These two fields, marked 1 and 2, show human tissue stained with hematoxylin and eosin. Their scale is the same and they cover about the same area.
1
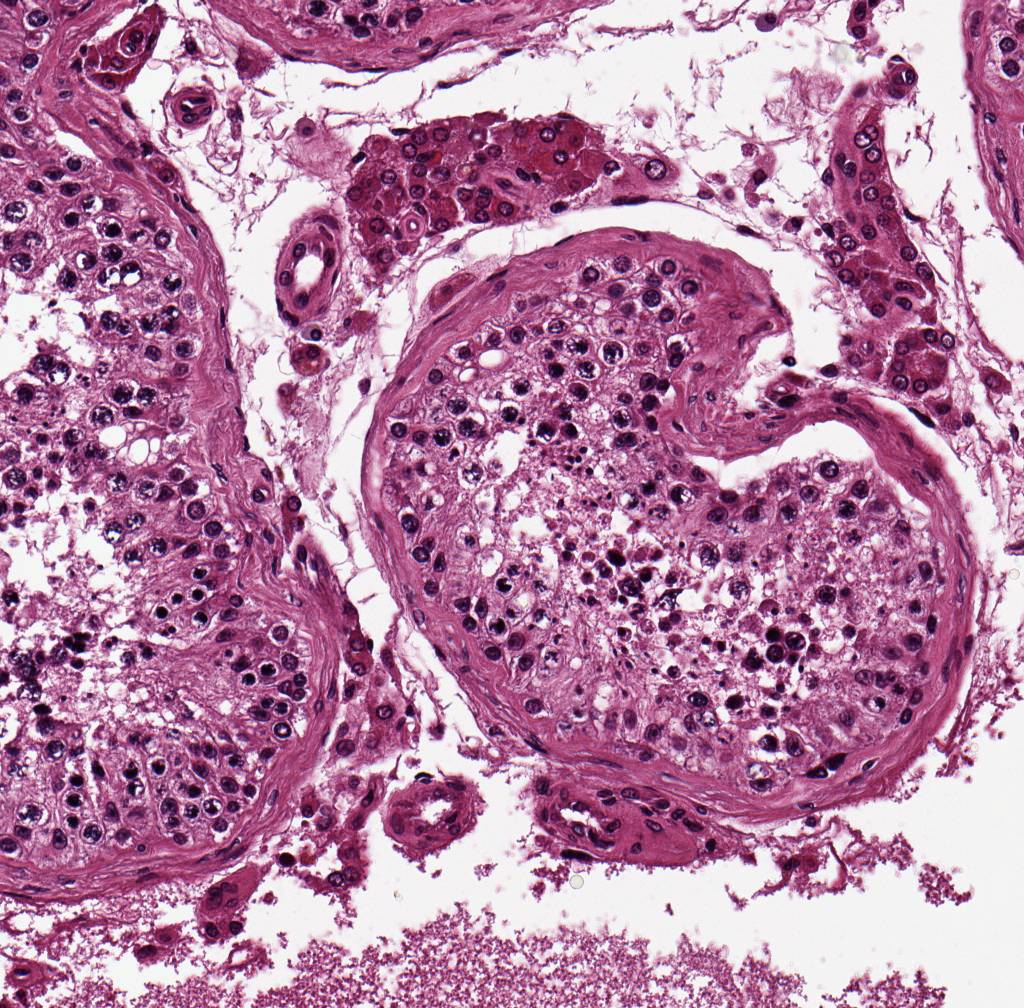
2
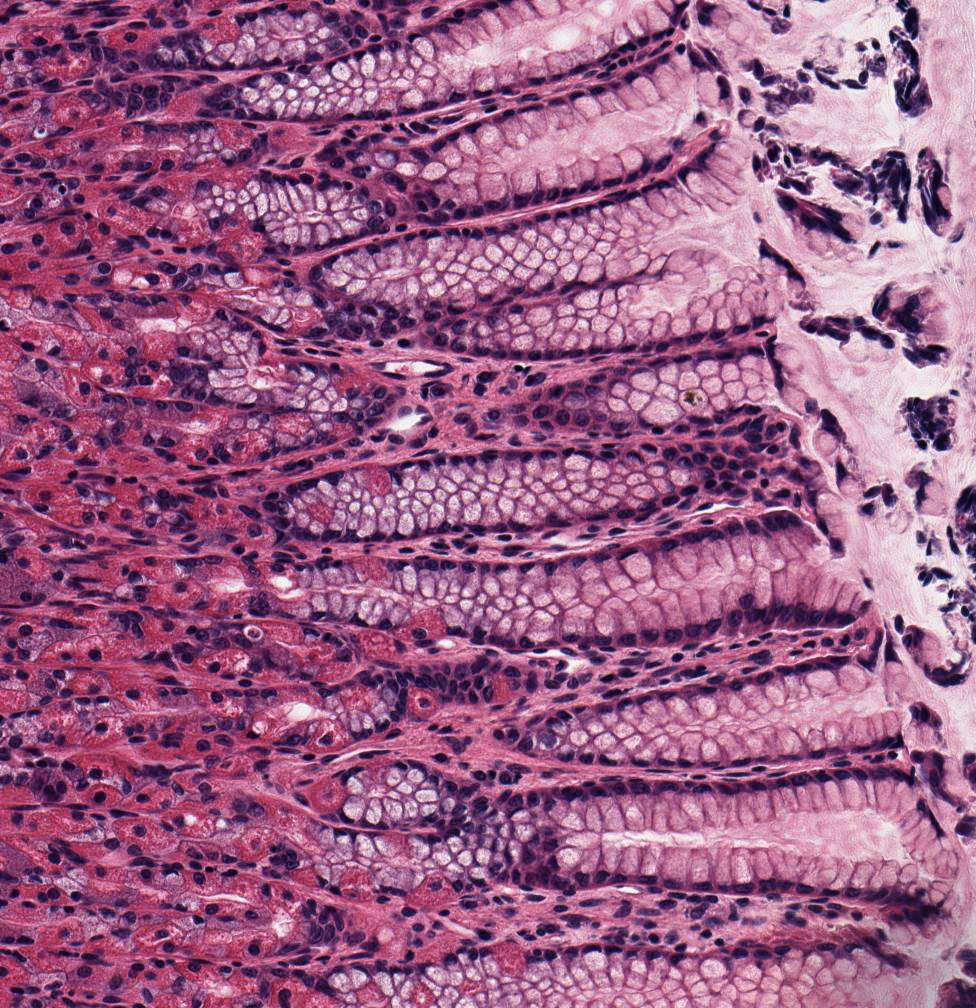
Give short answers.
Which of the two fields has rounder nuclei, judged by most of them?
1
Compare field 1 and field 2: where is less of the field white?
2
